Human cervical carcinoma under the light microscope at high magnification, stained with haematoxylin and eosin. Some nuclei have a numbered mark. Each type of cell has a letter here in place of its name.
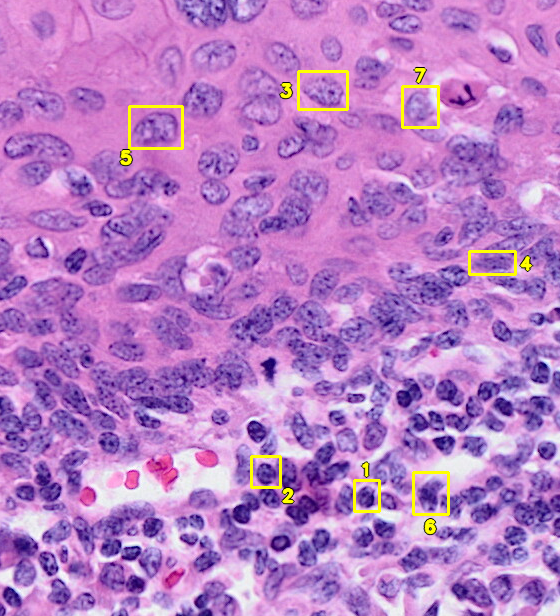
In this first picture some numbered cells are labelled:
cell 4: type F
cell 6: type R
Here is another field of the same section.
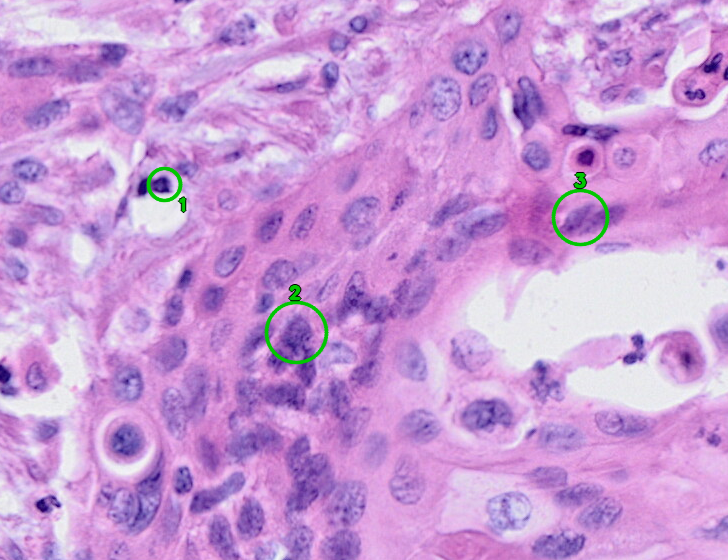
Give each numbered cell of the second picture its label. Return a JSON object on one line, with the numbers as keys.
{"1": "type R", "2": "type F", "3": "type F"}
